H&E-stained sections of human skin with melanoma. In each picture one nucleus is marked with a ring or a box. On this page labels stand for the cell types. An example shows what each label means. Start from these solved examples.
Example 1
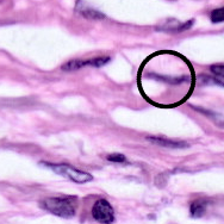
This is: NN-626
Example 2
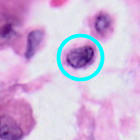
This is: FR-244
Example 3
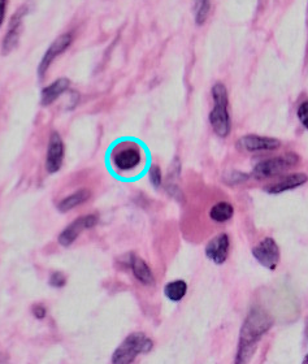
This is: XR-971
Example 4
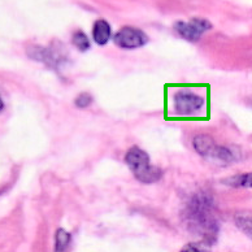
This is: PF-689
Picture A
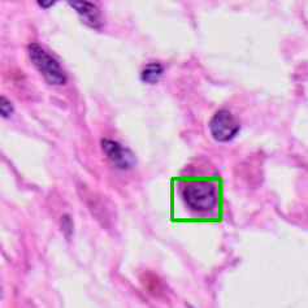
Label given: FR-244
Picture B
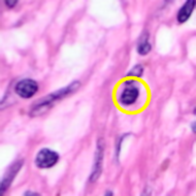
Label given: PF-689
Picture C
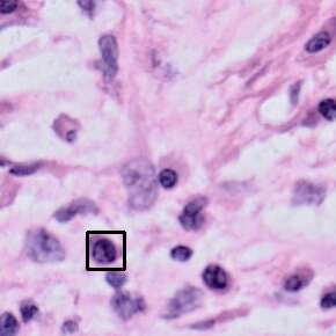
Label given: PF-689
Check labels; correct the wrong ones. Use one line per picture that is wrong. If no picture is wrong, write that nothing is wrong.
Wrong: C (PF-689); correct: XR-971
